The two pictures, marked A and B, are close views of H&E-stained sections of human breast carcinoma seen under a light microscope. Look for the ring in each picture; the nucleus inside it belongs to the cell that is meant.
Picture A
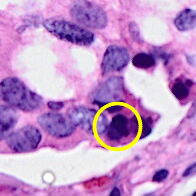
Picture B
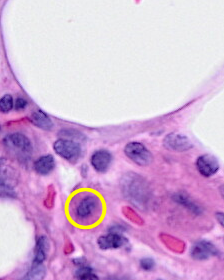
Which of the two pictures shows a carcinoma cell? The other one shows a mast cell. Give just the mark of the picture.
A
